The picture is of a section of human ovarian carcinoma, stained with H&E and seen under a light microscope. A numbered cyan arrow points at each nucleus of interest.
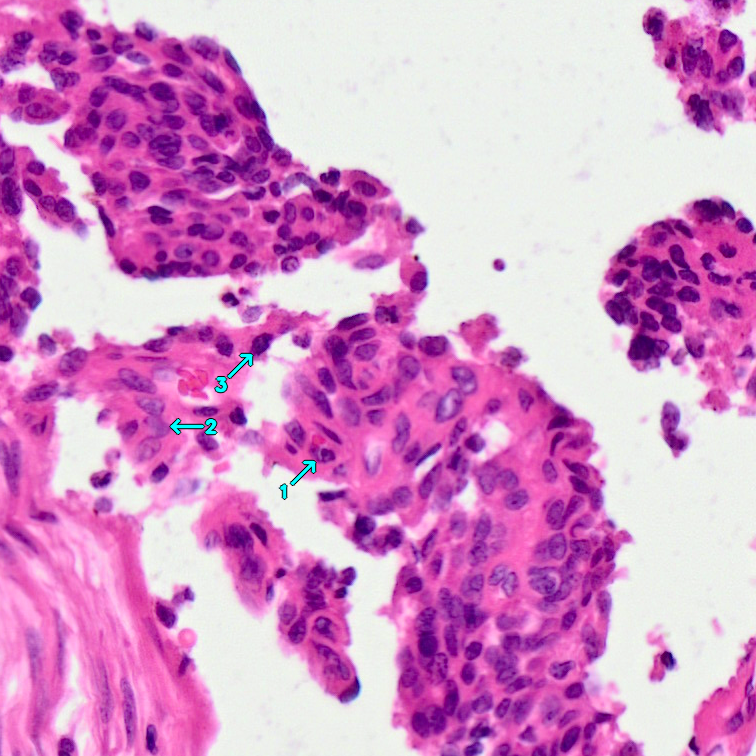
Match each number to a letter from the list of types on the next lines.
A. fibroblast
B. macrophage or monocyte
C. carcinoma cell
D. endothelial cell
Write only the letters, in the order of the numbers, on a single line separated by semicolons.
D; D; B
